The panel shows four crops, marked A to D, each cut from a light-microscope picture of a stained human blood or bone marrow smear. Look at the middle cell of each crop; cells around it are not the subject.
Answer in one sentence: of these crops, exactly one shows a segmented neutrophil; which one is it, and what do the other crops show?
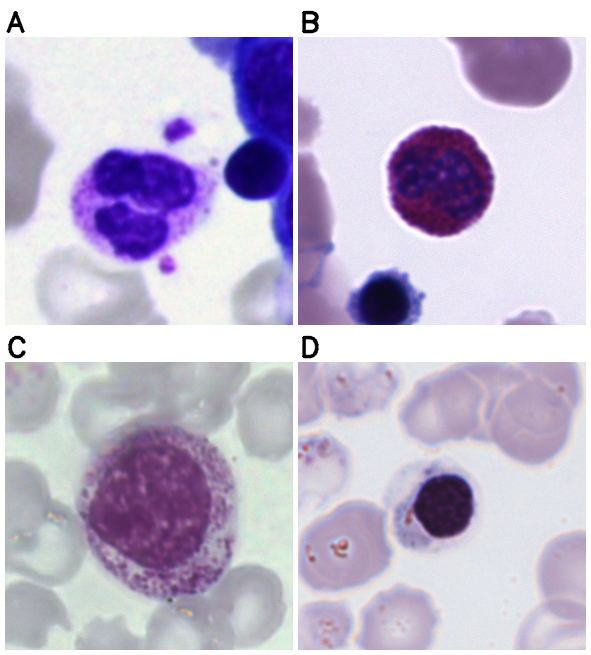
Crop A shows a segmented neutrophil, and as for the other crops, crop B is an eosinophil, crop C is a myelocyte and crop D is an erythroblast.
